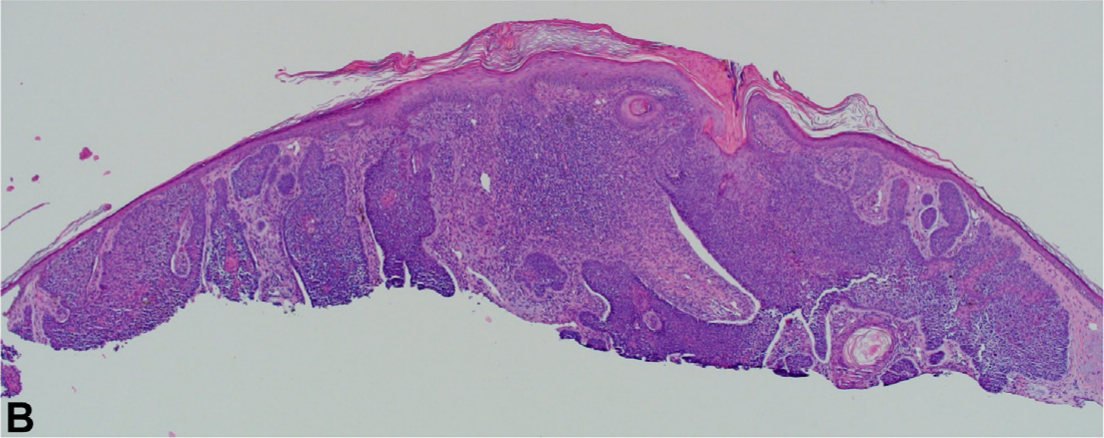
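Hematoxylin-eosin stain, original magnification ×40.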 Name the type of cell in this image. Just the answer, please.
Atypical basaloid cells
